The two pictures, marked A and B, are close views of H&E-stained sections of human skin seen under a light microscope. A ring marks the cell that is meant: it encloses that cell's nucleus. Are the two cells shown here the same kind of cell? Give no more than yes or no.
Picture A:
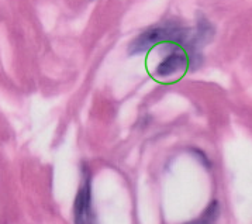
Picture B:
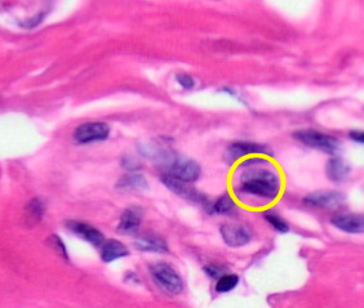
yes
